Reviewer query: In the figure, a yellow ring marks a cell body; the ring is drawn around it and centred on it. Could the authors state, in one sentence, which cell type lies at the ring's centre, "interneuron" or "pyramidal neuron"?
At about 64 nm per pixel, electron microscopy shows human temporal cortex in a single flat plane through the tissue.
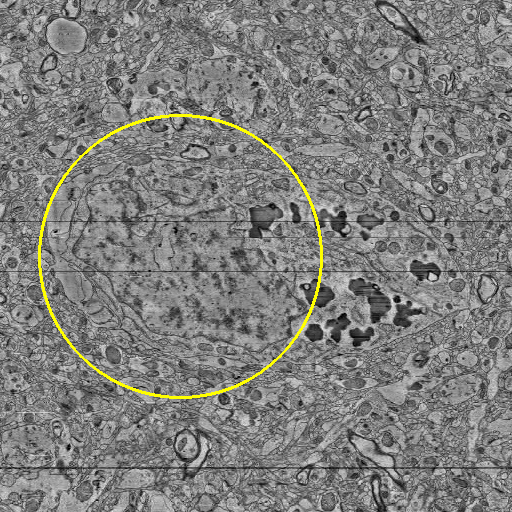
The ring is centred on an interneuron.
